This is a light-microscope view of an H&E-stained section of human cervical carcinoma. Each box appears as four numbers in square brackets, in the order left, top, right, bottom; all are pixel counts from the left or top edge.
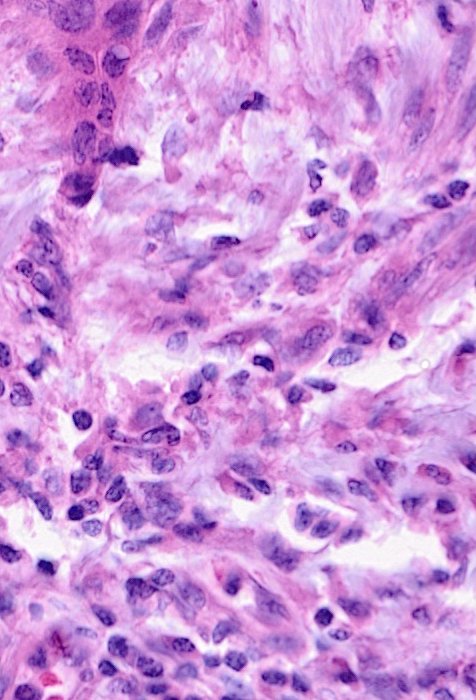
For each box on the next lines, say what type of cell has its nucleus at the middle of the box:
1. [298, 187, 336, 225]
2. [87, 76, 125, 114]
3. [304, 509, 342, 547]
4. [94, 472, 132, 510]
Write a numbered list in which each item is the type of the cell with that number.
1. lymphocyte
2. squamous carcinoma cell
3. lymphocyte
4. lymphocyte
